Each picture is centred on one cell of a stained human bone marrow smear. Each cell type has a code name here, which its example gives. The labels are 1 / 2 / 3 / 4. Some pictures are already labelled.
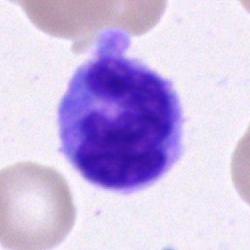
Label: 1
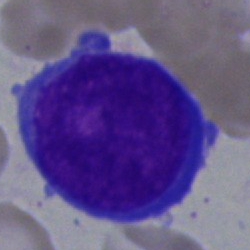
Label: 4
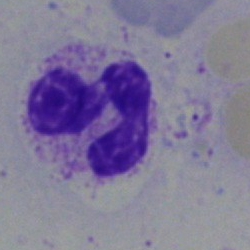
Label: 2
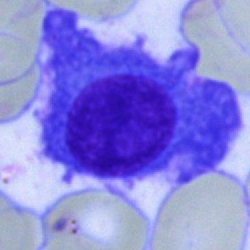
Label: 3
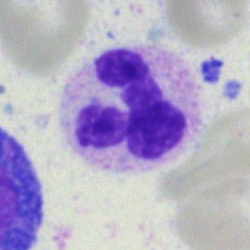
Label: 2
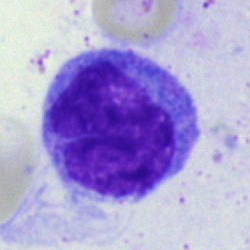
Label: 1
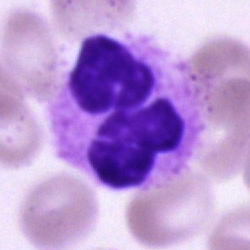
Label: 2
